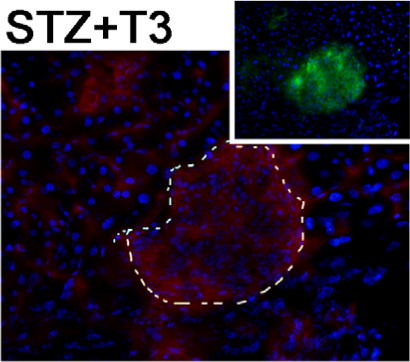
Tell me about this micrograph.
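Pancreatic tissue with a rounded islet of tightly packed cells with blue nuclei, set among surrounding pancreatic tissue. Diffuse red label lies within the islet and in patches of the surrounding tissue. The inset shows a rounded cluster with patchy green label.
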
